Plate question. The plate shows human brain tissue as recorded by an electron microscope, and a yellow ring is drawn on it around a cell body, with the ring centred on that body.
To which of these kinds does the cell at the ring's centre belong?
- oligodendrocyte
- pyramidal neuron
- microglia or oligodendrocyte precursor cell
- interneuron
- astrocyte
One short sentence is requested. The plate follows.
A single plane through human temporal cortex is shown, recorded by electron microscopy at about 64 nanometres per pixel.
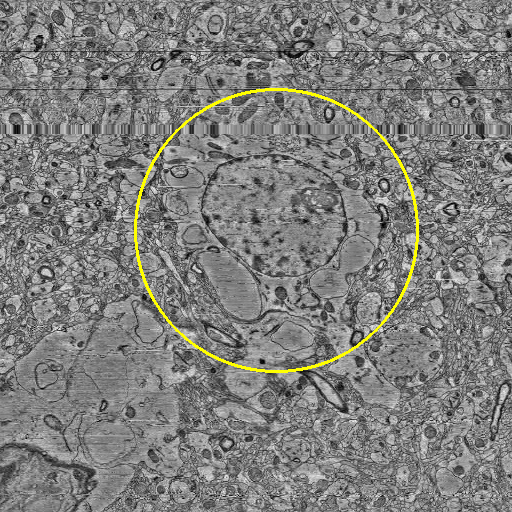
The cell at the ring's centre is an astrocyte.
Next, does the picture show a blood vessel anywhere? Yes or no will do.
Yes, there is a blood vessel in the image.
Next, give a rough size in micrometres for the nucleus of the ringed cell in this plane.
The ringed cell's nucleus is about 9 micrometres long and 8 micrometres wide in this plane.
